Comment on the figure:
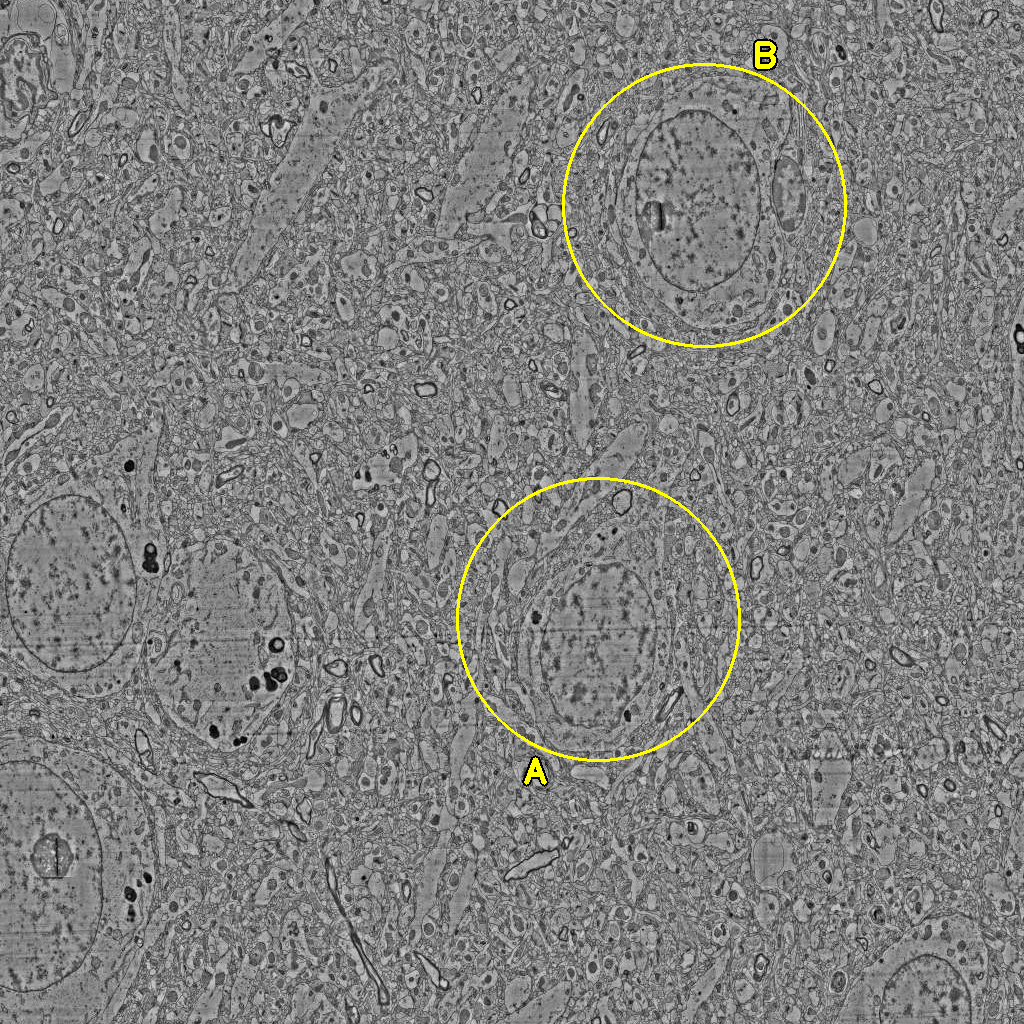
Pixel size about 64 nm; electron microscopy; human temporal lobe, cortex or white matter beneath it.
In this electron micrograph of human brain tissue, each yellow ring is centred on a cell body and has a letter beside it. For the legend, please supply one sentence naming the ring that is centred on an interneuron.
Ring A is centred on that cell.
